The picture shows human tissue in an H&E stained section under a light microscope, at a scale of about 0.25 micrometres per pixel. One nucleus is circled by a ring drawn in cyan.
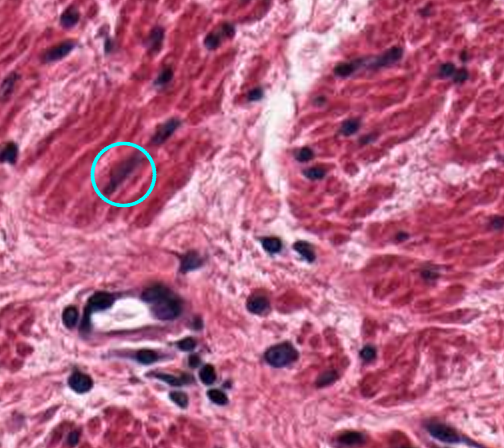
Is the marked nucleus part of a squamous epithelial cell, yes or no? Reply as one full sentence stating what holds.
No, the marked nucleus is not housed in a squamous epithelial cell.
